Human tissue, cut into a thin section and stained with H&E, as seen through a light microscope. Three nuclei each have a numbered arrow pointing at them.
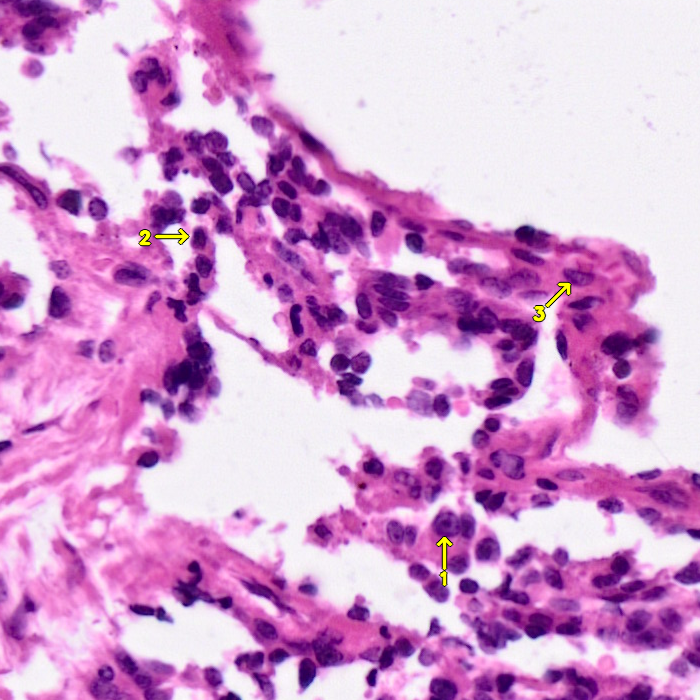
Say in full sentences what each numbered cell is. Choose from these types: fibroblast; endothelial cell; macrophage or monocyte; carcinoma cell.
Cells 1 and 2 are carcinoma cells. Cell 3 is an endothelial cell.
